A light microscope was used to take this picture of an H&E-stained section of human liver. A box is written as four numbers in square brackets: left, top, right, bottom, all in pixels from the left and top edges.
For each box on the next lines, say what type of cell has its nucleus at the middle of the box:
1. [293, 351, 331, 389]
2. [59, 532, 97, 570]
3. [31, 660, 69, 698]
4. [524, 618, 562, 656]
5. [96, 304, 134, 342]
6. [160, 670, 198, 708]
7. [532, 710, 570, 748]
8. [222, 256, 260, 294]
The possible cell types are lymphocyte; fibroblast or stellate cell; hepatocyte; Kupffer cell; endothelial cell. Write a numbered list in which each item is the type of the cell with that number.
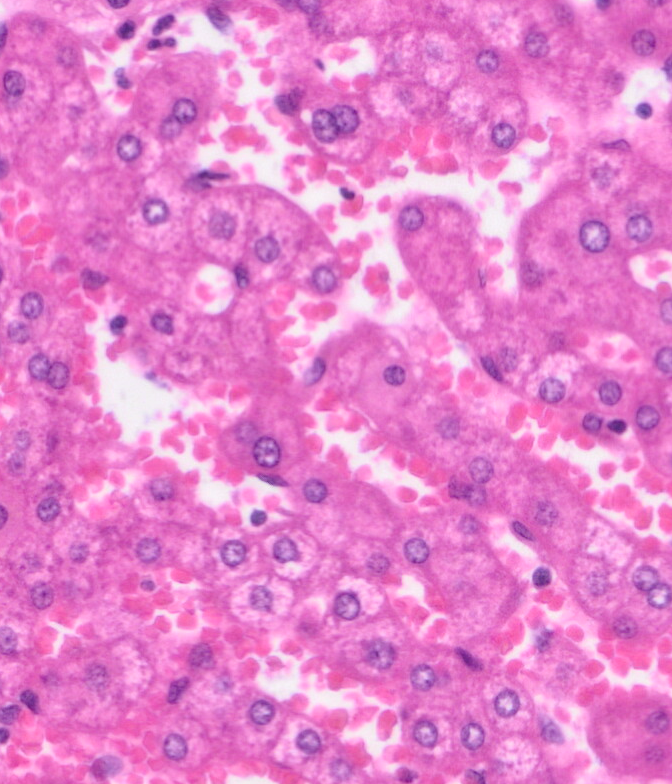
1. Kupffer cell
2. hepatocyte
3. hepatocyte
4. endothelial cell
5. lymphocyte
6. fibroblast or stellate cell
7. Kupffer cell
8. fibroblast or stellate cell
